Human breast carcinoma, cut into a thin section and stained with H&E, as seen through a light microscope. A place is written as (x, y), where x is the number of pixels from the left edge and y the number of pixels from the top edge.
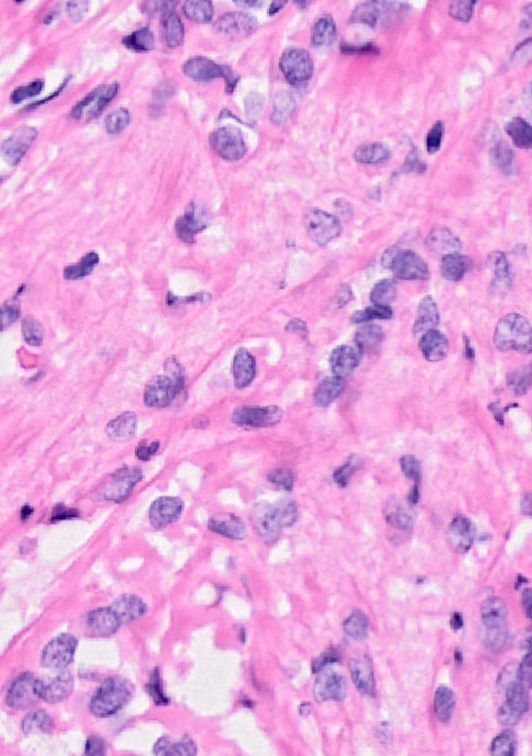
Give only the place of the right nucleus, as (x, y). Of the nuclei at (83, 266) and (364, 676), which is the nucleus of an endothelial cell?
(364, 676)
